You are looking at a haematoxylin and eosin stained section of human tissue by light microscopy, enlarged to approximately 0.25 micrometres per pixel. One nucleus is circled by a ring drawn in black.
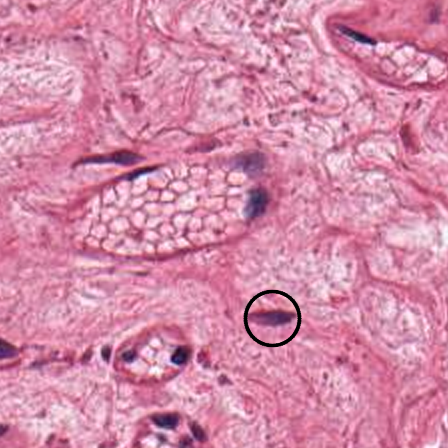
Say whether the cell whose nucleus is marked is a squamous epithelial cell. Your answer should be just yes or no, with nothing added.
no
